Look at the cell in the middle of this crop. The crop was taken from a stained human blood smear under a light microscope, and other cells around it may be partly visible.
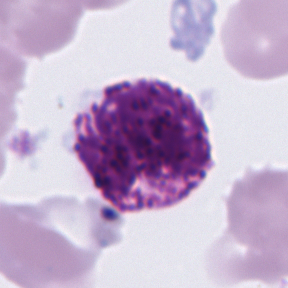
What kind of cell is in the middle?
basophil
